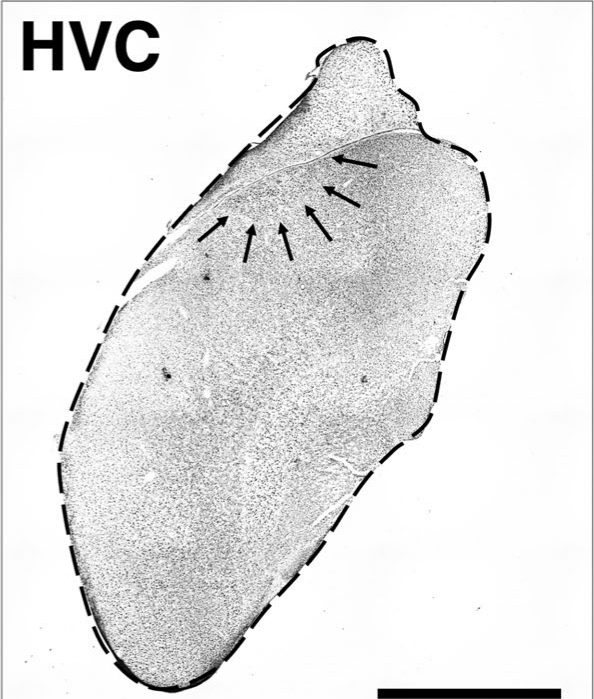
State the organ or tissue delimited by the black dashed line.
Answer: telencephalon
